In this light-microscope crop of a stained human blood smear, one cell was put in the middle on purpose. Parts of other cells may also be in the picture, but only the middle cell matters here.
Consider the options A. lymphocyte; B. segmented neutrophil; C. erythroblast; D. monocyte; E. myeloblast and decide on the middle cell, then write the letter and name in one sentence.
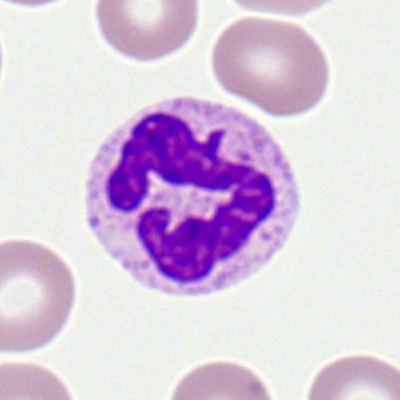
The centrally positioned cell is a segmented neutrophil, consistent with option B, which is correct.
